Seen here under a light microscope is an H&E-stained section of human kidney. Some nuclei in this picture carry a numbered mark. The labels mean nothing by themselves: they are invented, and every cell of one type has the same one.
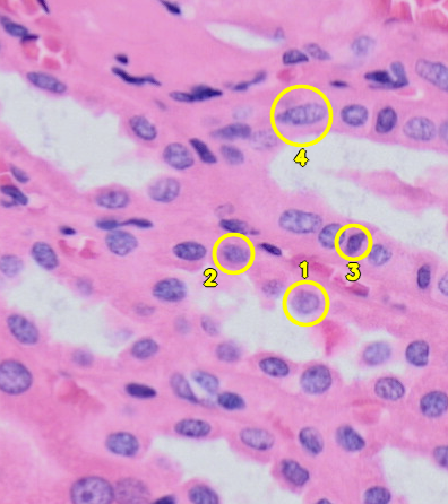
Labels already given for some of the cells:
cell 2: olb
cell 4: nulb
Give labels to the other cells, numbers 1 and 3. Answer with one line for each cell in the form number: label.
1: olb
3: nulb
